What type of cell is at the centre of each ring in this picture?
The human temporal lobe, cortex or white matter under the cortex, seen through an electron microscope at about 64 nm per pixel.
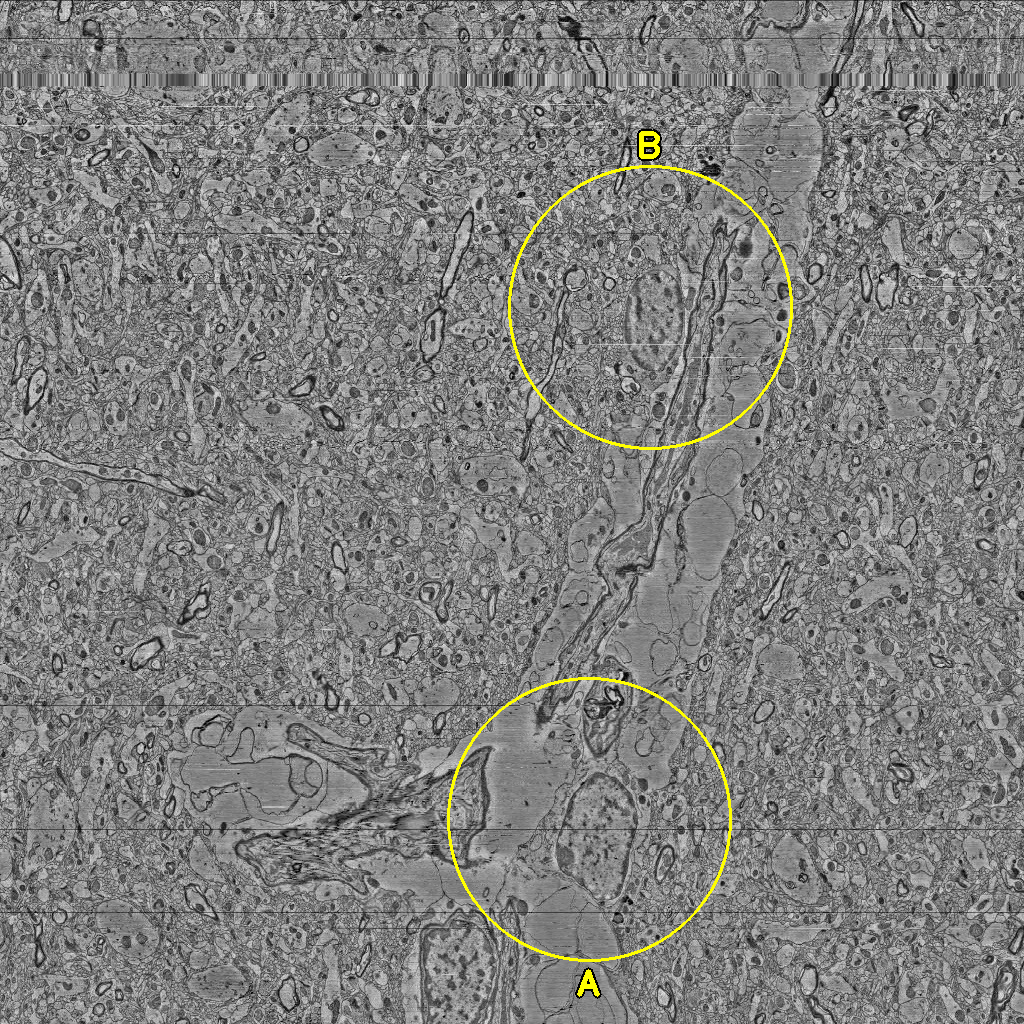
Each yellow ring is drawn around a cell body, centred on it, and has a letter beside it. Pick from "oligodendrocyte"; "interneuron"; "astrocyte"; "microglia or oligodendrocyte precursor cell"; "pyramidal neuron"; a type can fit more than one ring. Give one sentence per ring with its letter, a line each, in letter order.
The ring marked A is centred on a microglial cell or oligodendrocyte precursor cell.
The ring marked B is centred on an oligodendrocyte.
